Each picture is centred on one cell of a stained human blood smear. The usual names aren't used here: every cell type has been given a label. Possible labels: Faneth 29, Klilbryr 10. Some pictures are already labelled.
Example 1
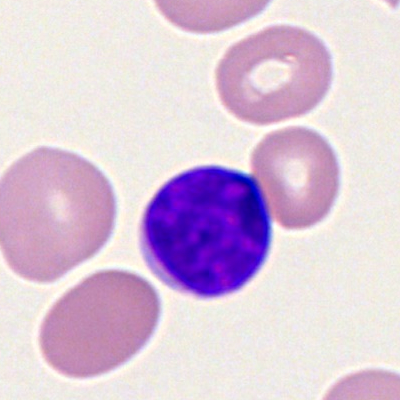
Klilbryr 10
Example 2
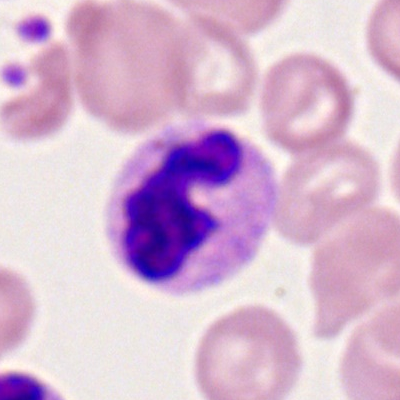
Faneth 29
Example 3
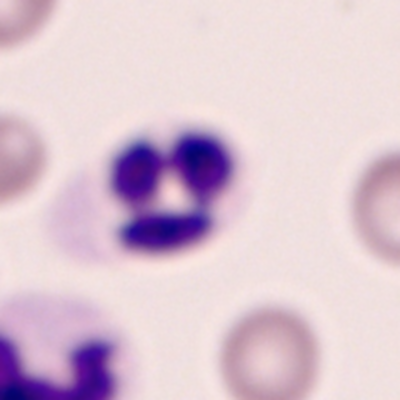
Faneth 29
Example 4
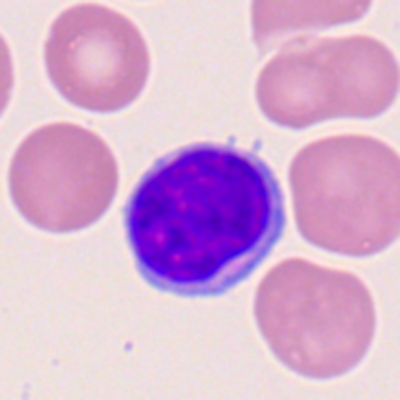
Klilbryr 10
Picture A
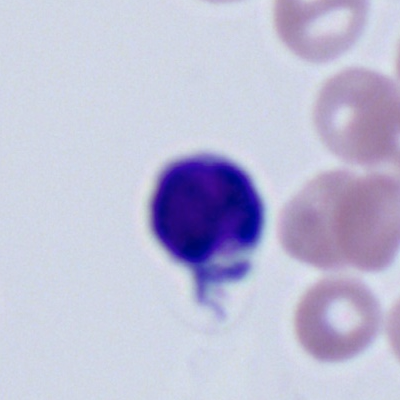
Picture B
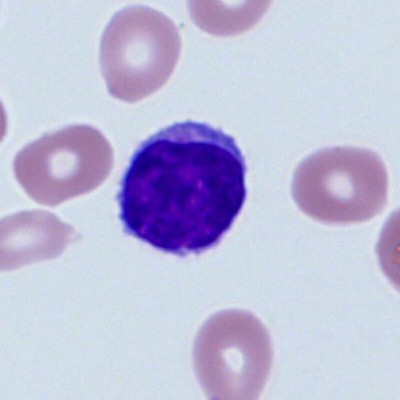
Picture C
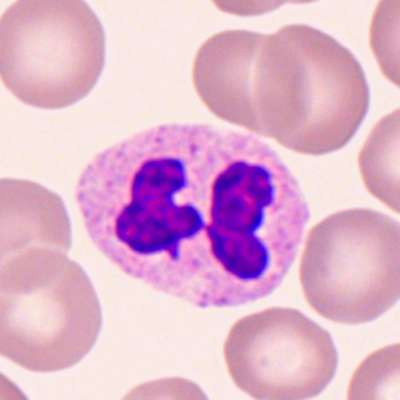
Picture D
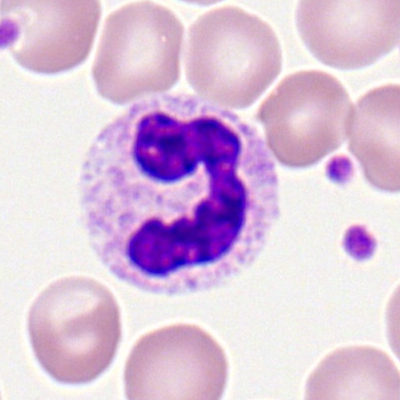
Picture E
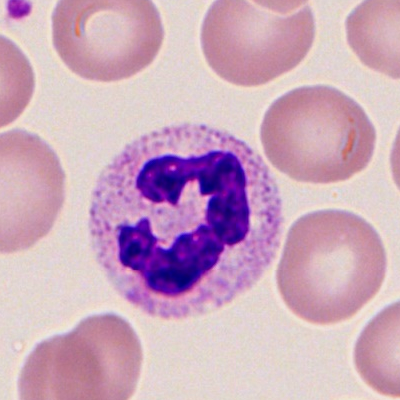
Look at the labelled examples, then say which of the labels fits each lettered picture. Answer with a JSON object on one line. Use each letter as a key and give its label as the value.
{"A": "Klilbryr 10", "B": "Klilbryr 10", "C": "Faneth 29", "D": "Faneth 29", "E": "Faneth 29"}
